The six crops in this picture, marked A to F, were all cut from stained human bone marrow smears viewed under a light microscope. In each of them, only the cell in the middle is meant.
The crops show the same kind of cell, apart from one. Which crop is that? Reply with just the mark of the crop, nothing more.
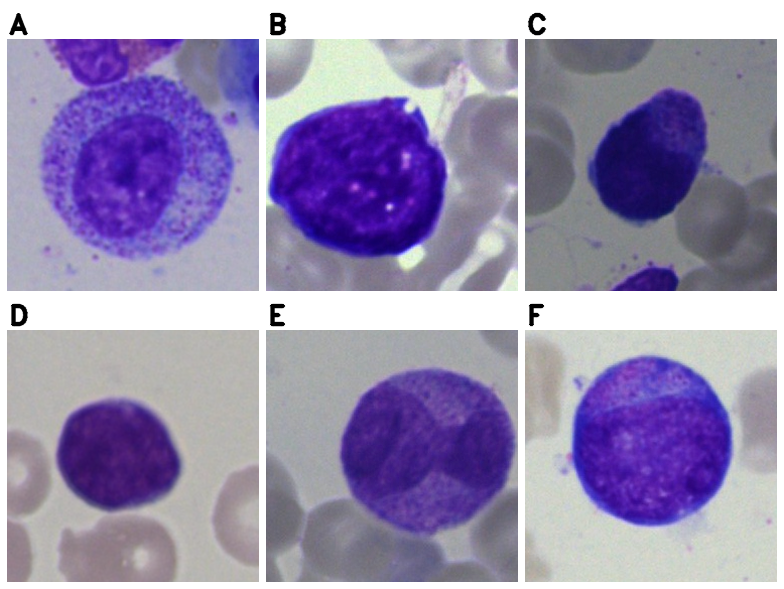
A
